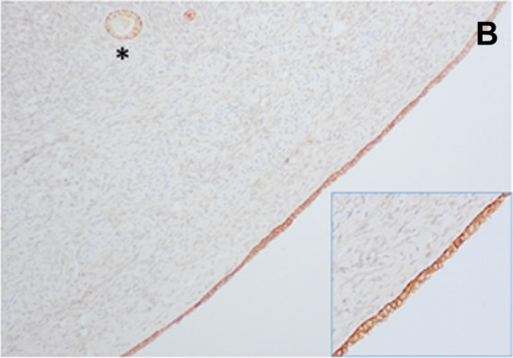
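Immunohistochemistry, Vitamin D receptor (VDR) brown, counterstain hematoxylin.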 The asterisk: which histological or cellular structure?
Ovarian follicle.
